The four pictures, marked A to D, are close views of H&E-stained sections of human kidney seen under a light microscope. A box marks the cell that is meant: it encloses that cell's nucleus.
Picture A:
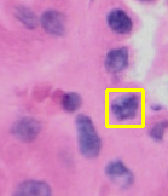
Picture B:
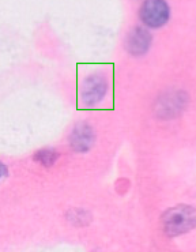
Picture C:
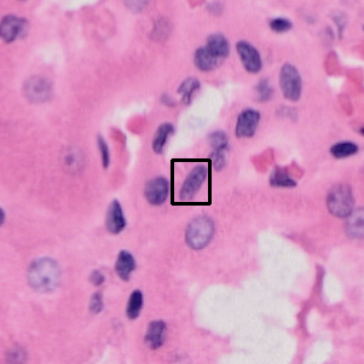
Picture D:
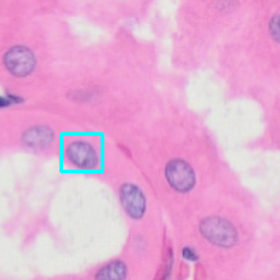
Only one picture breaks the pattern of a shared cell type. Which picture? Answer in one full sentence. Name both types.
The different one is picture C; it shows a collecting duct cell, whereas all the others show “loop of Henle or distal tubule cells”.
